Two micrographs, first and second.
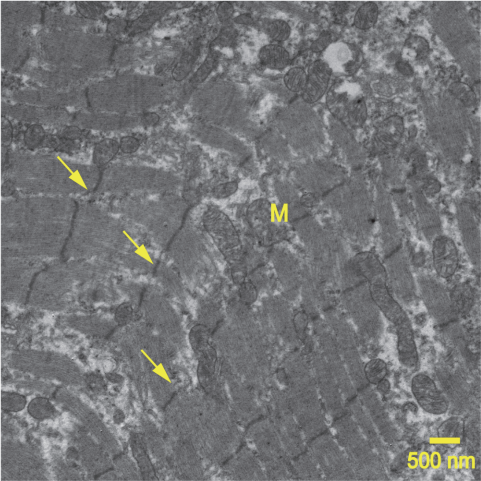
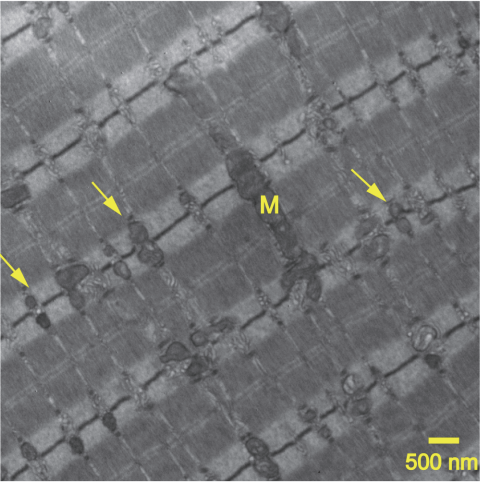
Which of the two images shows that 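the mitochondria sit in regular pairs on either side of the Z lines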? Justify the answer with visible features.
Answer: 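The second image. First image: mitochondria of varied size lie in clusters between myofibrils, many away from the Z lines, amid pale empty-looking spaces. Second image: small mitochondria lie in pairs flanking each Z line in a regular repeating pattern across the fibre.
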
